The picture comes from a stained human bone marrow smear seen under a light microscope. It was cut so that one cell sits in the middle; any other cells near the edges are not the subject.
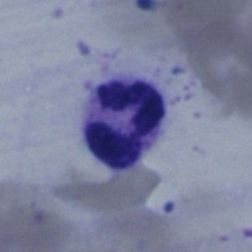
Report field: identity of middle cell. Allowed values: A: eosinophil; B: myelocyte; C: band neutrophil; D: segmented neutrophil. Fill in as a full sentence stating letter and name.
Option D is accurate; the centrally placed cell is a segmented neutrophil.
